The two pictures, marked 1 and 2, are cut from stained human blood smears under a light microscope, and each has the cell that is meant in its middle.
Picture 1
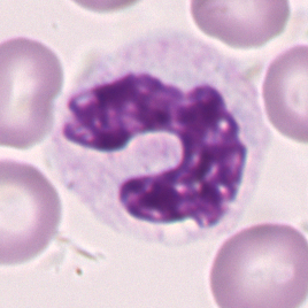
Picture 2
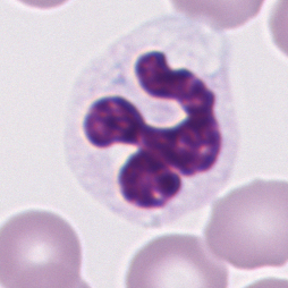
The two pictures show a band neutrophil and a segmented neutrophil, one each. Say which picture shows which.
1: band neutrophil
2: segmented neutrophil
